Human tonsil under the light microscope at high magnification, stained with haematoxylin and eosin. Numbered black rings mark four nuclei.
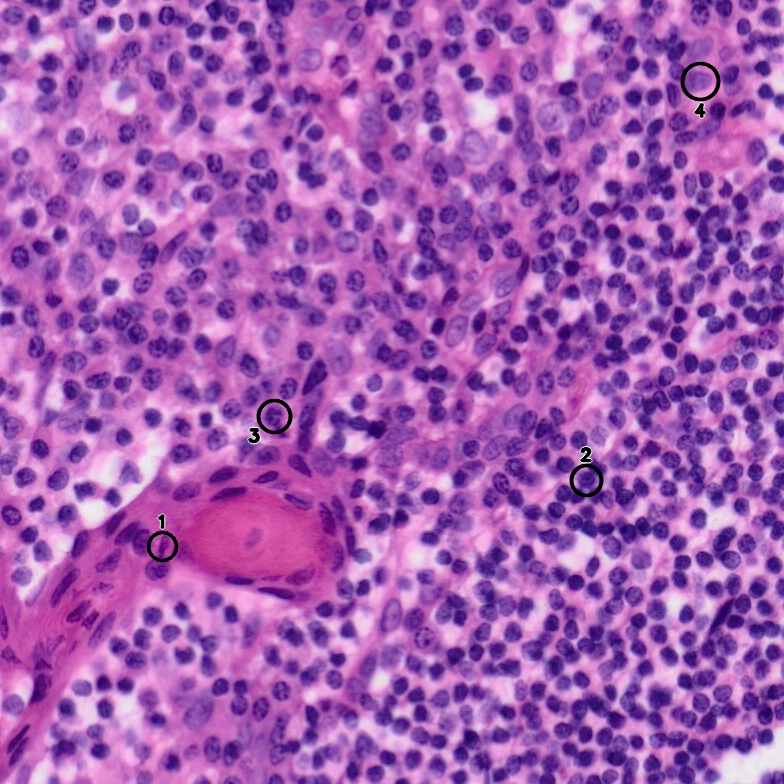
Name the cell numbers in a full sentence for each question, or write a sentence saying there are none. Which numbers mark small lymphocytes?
Response: cell 2 is a small lymphocyte, and no other numbered cell is.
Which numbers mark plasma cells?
Only number 3 of the marked cells is a plasma cell.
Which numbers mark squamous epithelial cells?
The only cell among those numbered to be a squamous epithelial cell is number 1.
